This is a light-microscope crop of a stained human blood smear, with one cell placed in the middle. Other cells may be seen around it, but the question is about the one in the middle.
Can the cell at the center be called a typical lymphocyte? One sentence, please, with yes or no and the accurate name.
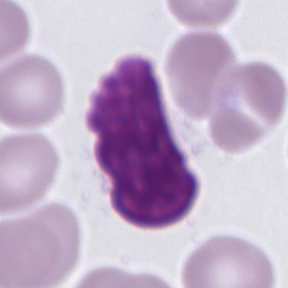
No, the centrally located cell is a smudge cell rather than a typical lymphocyte.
